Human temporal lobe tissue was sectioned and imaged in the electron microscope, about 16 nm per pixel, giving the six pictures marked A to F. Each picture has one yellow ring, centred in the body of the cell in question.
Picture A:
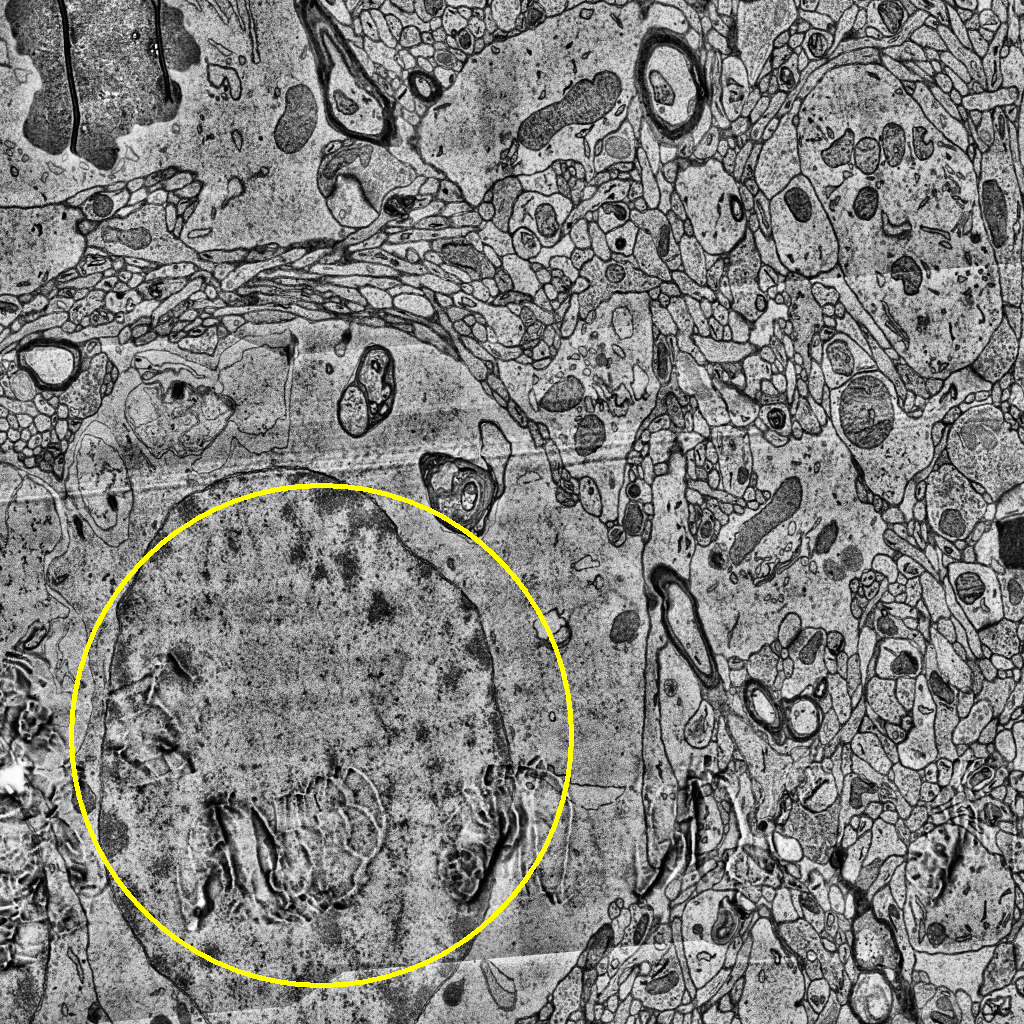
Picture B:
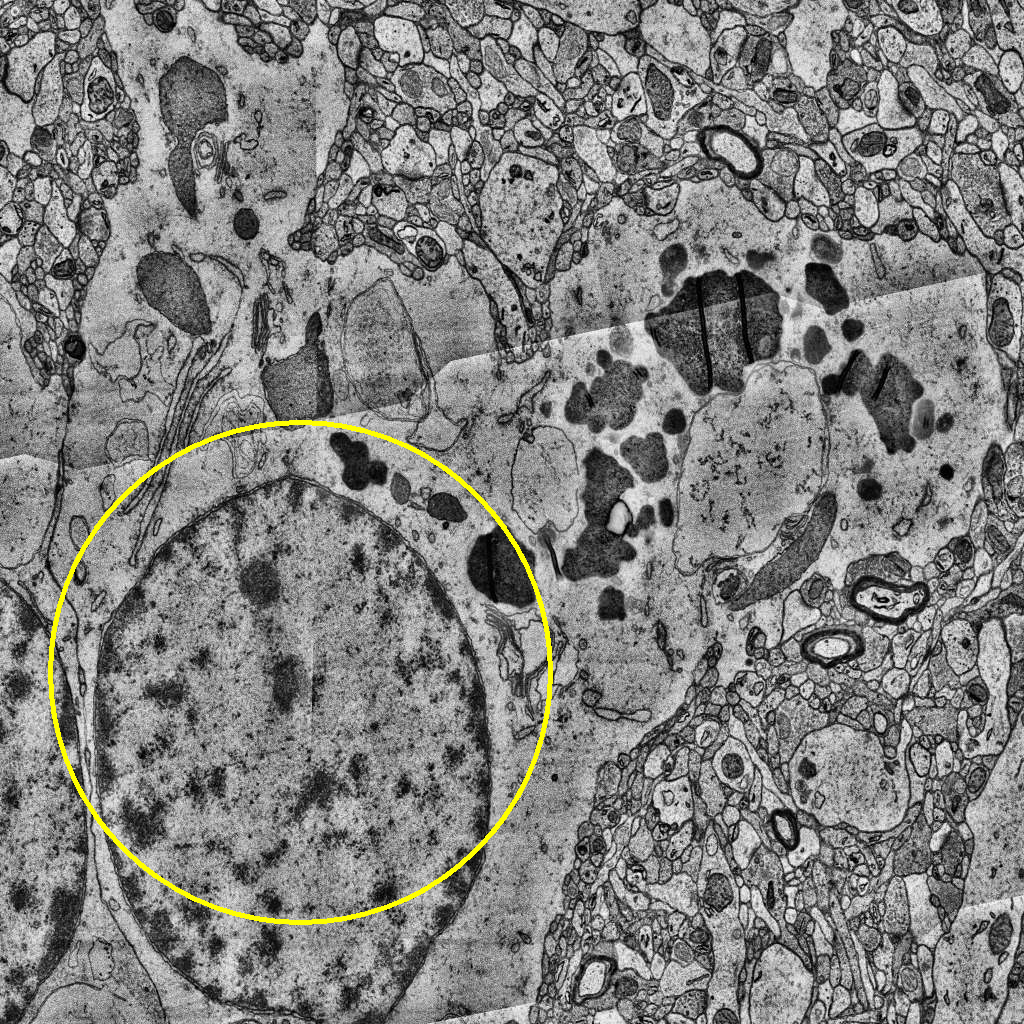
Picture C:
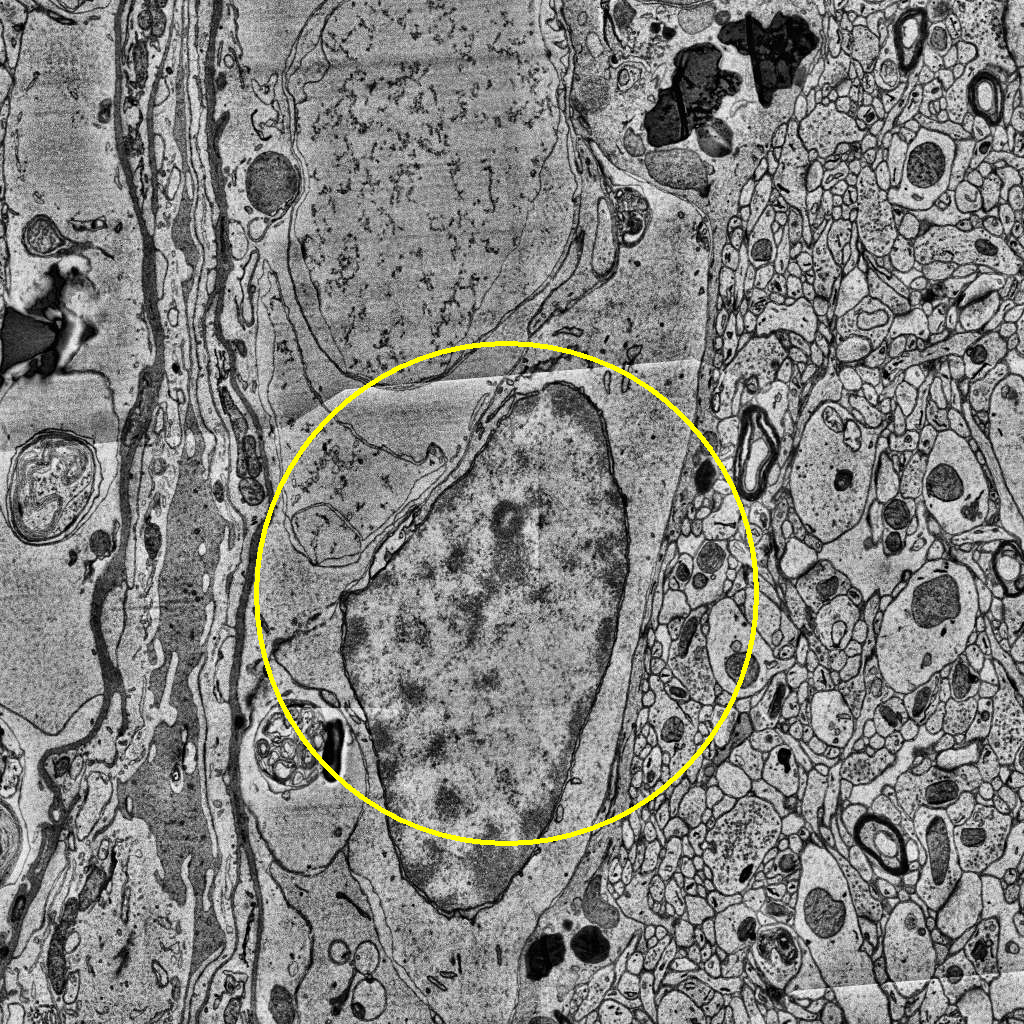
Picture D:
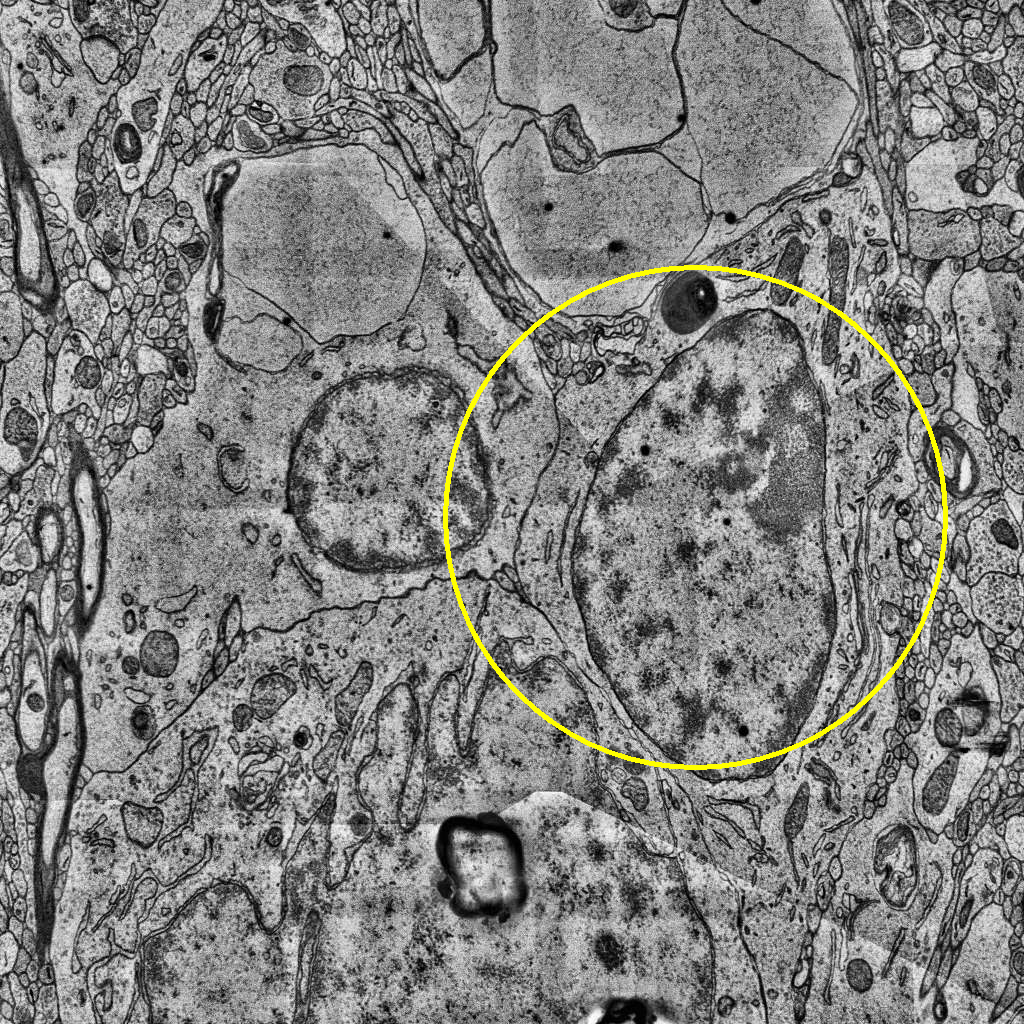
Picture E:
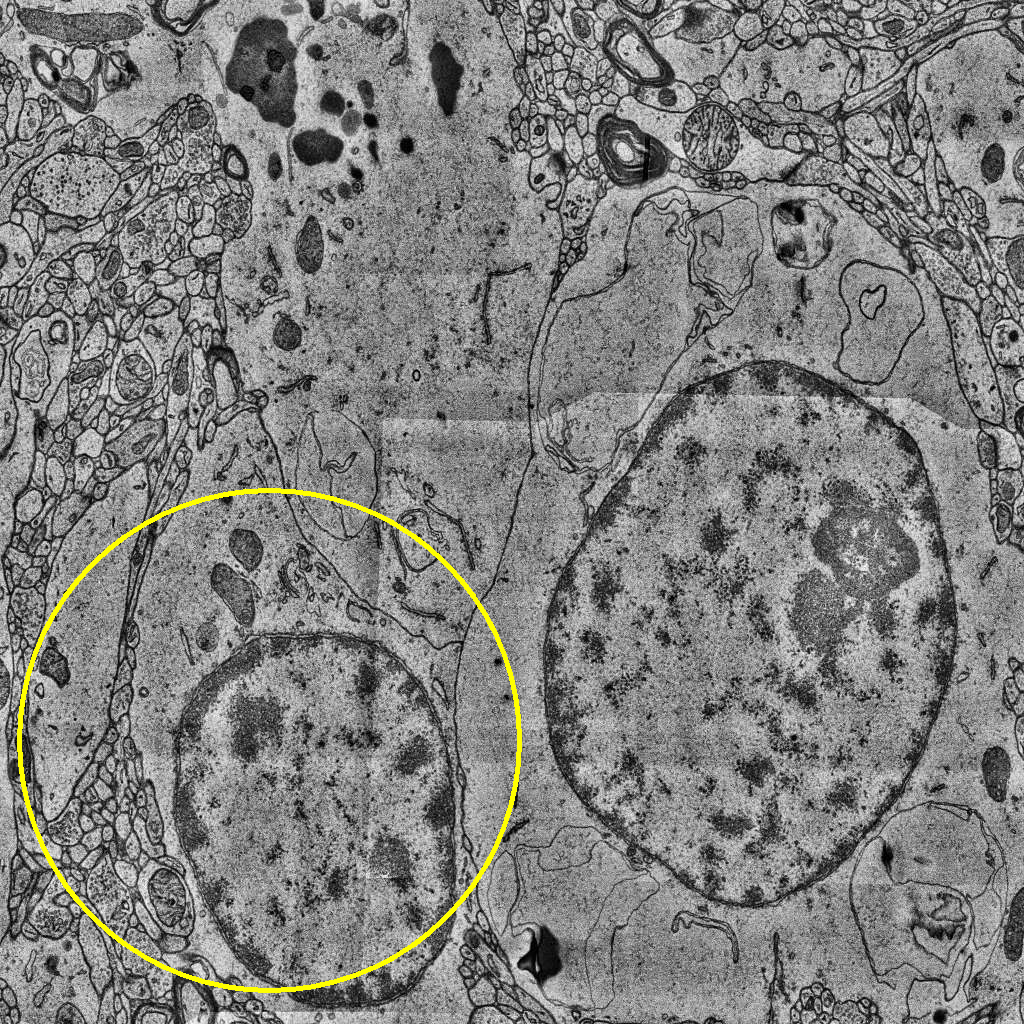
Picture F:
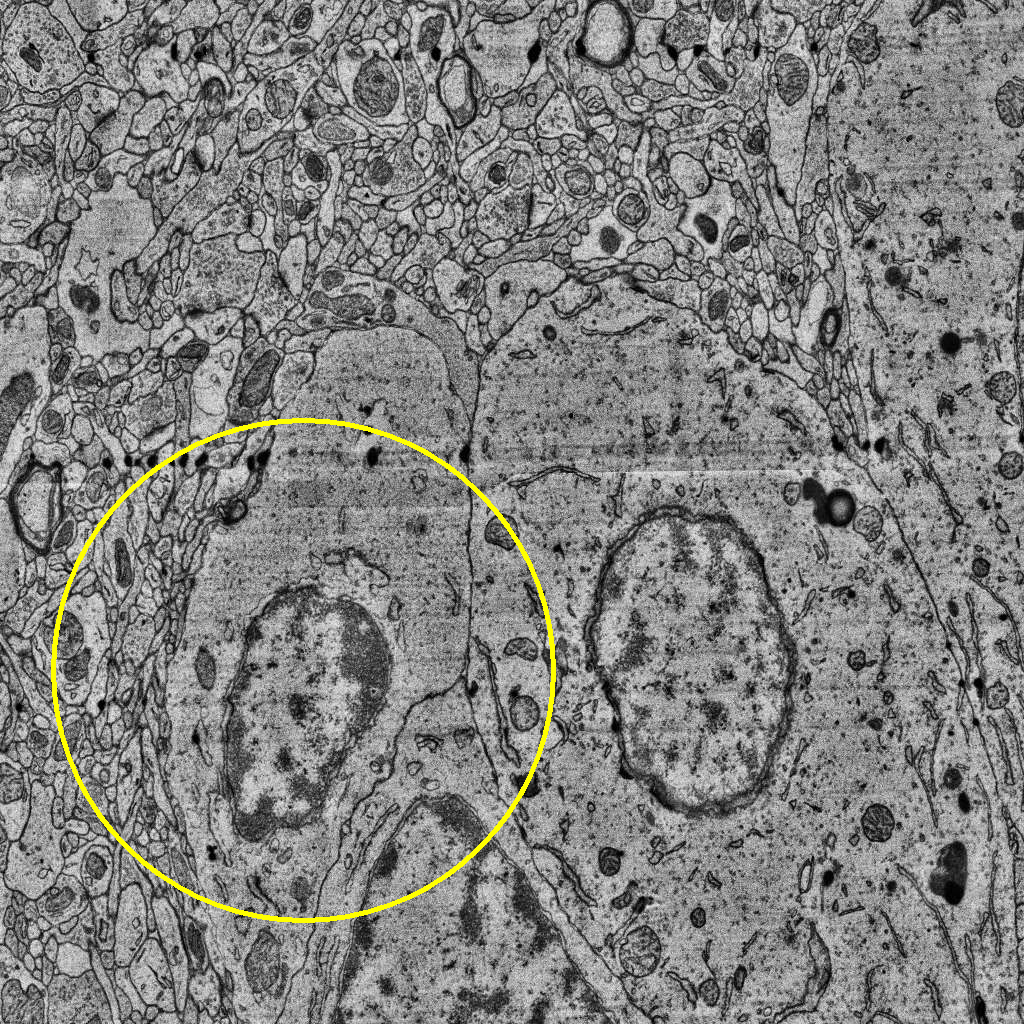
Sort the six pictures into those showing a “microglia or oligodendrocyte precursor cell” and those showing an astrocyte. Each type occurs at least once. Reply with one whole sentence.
Pictures C, D and F show “microglia or oligodendrocyte precursor cells”; pictures A, B and E show astrocytes.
